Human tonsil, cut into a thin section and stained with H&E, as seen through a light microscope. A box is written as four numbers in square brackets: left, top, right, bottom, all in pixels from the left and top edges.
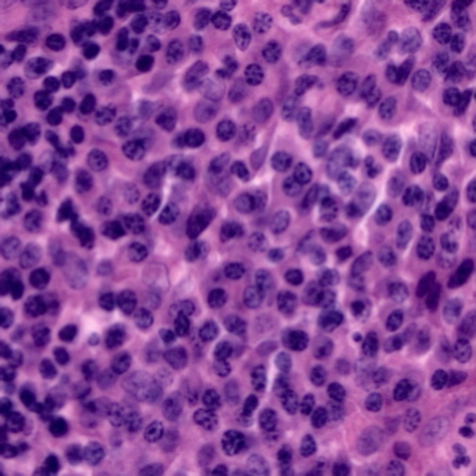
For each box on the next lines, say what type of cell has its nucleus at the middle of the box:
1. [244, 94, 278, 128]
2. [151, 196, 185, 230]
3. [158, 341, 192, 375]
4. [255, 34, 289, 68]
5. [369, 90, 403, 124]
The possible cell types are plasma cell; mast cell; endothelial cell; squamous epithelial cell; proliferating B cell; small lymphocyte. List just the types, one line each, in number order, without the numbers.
squamous epithelial cell
plasma cell
squamous epithelial cell
plasma cell
plasma cell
